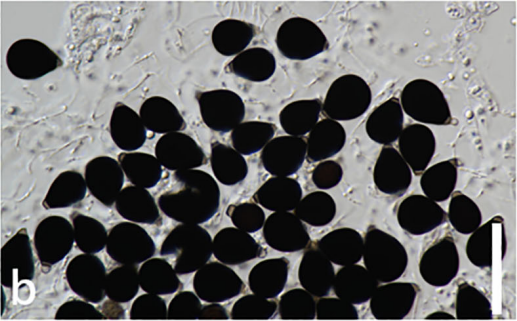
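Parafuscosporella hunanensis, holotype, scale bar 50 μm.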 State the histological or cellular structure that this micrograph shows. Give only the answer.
Conidial mass.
